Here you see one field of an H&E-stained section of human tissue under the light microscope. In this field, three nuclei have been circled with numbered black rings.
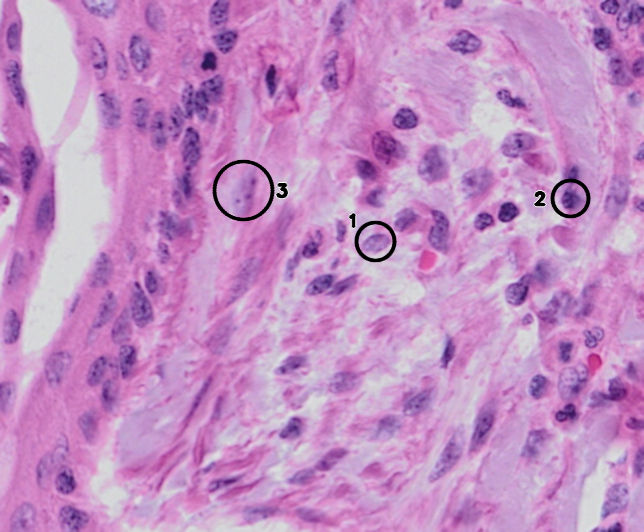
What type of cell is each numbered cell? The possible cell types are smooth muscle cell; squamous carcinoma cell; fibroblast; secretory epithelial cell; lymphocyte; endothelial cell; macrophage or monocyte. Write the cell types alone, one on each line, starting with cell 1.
macrophage or monocyte
lymphocyte
fibroblast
